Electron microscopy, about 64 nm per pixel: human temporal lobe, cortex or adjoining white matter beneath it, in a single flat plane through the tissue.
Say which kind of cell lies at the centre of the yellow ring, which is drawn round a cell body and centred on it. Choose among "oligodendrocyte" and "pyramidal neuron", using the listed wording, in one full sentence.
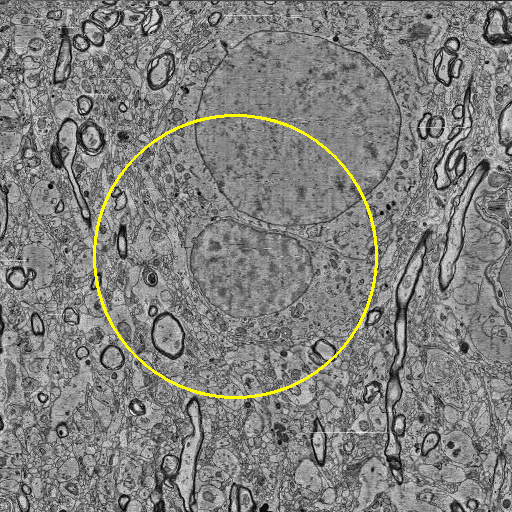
Going by the list, the cell at the yellow ring's centre is an oligodendrocyte.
